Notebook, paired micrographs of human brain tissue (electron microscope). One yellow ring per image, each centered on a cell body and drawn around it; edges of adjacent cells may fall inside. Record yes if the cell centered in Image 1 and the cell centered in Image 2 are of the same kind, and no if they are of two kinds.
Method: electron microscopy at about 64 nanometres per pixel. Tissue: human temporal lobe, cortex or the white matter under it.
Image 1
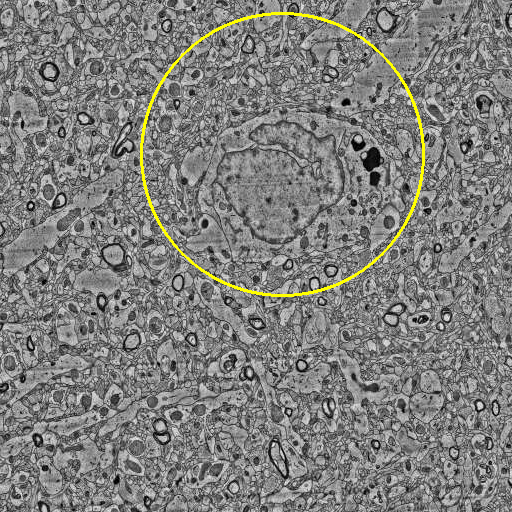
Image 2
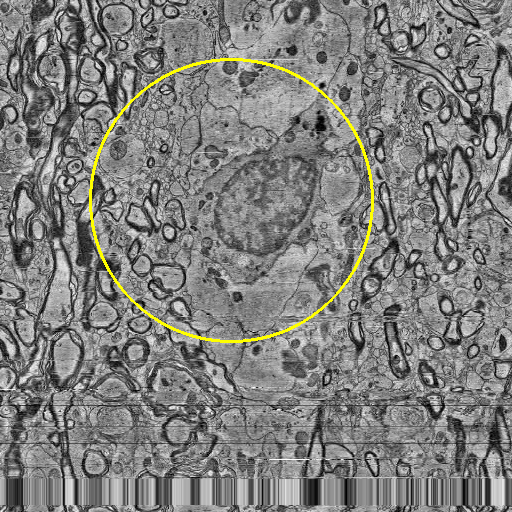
no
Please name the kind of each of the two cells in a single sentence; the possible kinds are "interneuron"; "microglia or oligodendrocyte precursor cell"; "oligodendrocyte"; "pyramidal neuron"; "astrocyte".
In the first picture the ring is centred on an interneuron, and in the second on an oligodendrocyte.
